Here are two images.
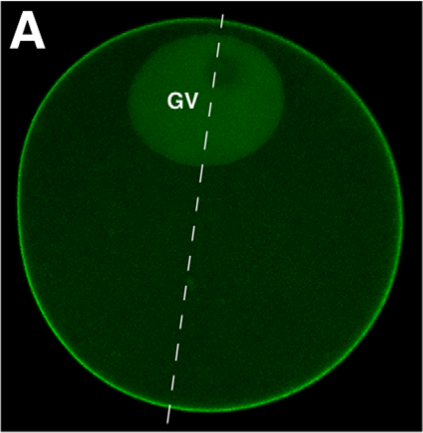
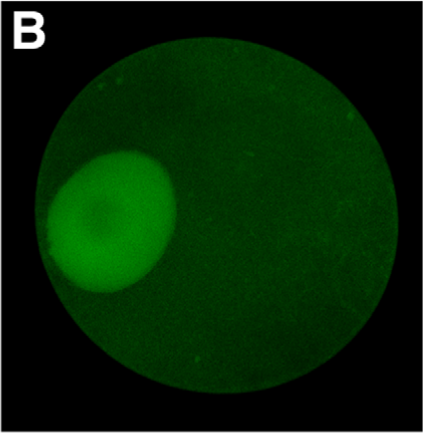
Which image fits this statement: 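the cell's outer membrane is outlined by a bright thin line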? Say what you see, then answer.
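Second image: the cell edge is dim with no bright rim; the nucleus is the brightest part. First image: a sharp bright green line runs around the whole cell edge.
The first image.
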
